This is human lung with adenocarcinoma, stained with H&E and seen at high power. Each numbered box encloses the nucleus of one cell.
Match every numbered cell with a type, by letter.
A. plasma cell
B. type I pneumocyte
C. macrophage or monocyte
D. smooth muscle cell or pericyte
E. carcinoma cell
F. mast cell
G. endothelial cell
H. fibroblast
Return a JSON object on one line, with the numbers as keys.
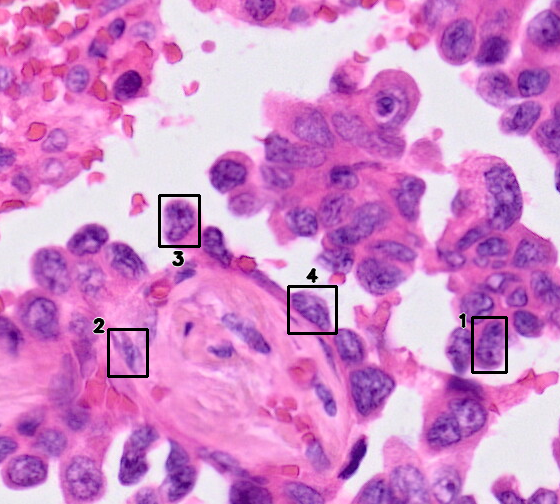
{"1": "E", "2": "H", "3": "E", "4": "E"}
